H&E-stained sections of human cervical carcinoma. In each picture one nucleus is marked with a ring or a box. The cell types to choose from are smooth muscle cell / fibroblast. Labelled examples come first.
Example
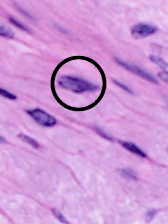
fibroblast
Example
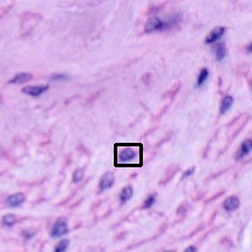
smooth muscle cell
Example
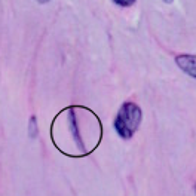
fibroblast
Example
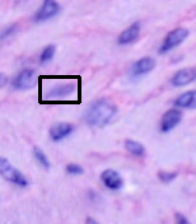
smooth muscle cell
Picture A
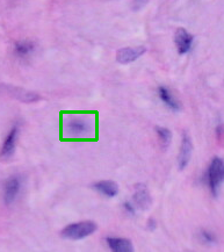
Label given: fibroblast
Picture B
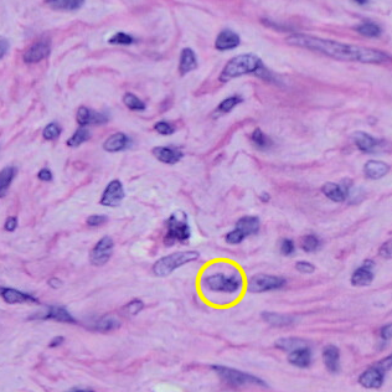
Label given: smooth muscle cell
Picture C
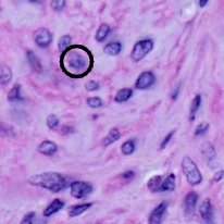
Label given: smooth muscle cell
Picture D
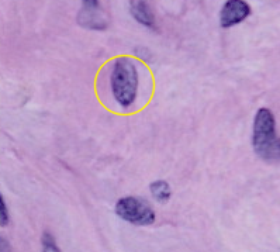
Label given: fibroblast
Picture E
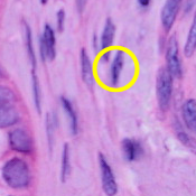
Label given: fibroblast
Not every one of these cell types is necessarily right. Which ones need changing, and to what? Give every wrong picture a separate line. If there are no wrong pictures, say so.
None of the labels needs changing.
